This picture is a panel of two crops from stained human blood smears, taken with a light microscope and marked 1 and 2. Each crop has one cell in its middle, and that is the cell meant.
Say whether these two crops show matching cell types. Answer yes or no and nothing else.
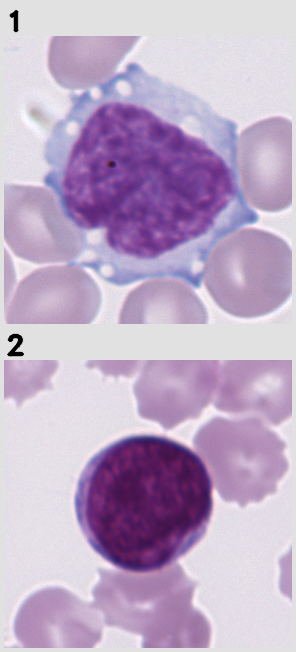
yes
